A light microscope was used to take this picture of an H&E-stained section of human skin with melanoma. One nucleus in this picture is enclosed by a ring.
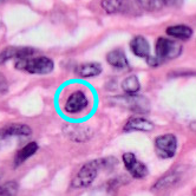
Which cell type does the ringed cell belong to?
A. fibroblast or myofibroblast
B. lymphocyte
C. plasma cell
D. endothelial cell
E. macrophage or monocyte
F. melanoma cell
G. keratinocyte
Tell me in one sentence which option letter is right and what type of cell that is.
The right option is B, the ringed cell being a lymphocyte.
